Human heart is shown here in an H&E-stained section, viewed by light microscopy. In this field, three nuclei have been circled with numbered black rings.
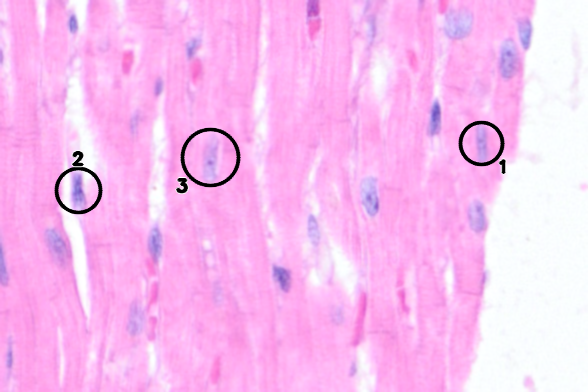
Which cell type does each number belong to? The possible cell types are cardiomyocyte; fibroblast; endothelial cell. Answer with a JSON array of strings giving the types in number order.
["cardiomyocyte", "endothelial cell", "cardiomyocyte"]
